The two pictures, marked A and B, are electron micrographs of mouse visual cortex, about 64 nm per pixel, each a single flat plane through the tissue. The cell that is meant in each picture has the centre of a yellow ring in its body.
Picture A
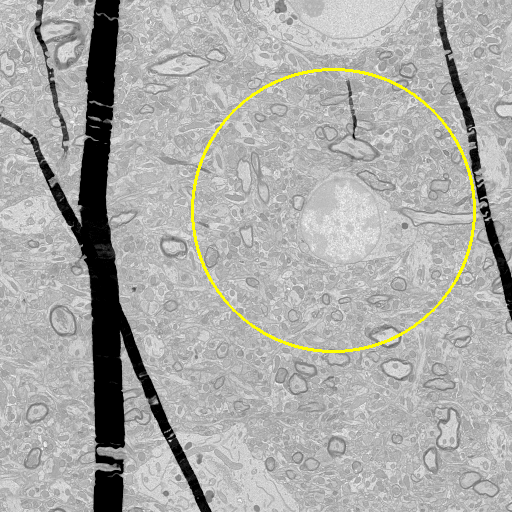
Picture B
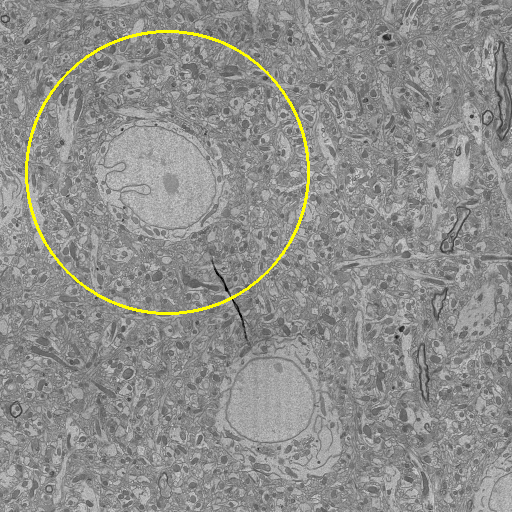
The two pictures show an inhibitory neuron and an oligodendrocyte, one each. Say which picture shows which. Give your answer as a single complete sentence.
The cell in picture A is an oligodendrocyte, and the one in picture B is an inhibitory neuron.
